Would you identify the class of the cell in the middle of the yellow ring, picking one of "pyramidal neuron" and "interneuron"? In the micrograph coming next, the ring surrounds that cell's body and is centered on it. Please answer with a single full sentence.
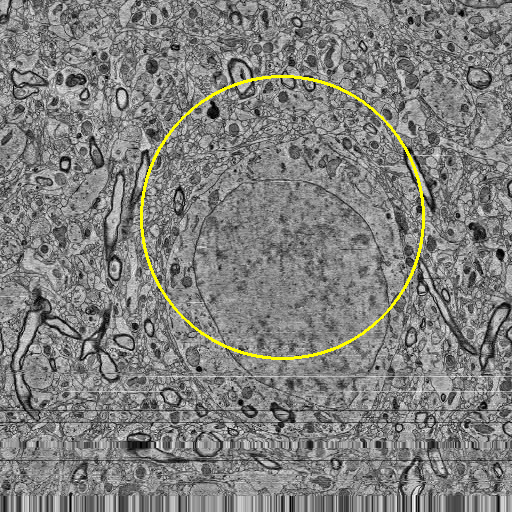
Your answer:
In the micrograph, it is a pyramidal neuron whose body lies at the ring's center.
